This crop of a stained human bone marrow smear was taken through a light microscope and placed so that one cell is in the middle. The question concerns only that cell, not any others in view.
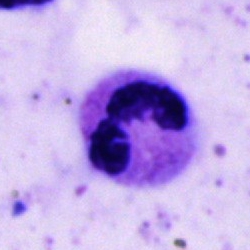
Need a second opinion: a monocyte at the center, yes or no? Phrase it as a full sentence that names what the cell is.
No, the cell at the centre is identified as a segmented neutrophil, not as a monocyte.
